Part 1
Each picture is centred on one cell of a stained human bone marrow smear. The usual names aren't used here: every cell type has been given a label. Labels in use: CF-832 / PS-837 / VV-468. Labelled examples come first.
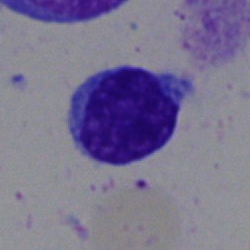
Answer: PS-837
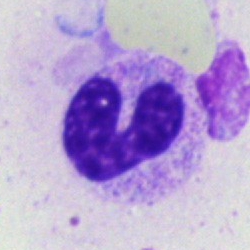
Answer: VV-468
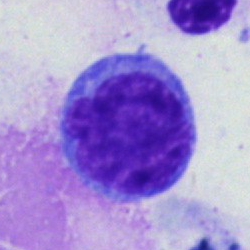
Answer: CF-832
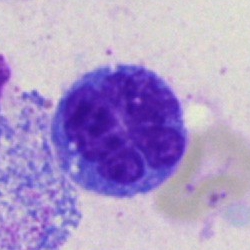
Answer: CF-832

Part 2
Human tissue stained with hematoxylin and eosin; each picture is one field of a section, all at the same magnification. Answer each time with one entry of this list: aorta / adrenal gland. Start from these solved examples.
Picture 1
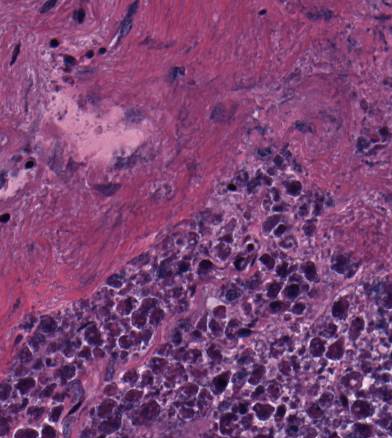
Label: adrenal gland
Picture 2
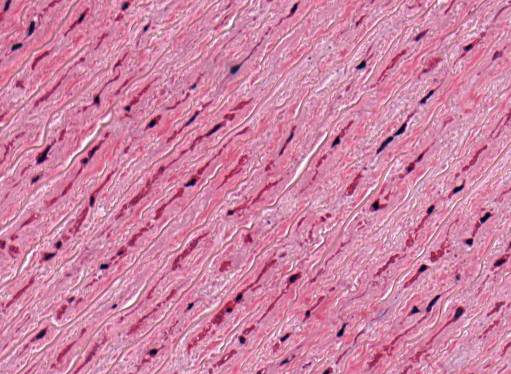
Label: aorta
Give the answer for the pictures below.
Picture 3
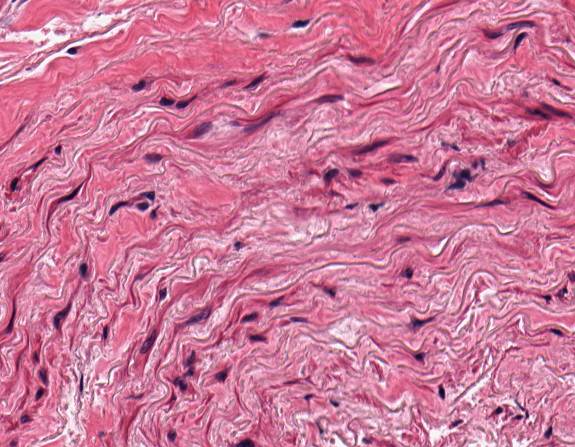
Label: aorta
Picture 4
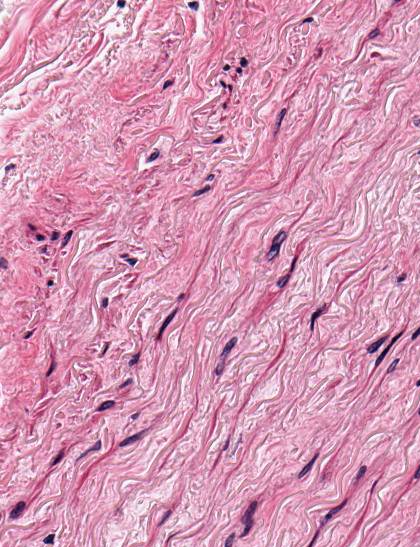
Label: aorta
